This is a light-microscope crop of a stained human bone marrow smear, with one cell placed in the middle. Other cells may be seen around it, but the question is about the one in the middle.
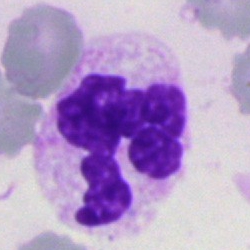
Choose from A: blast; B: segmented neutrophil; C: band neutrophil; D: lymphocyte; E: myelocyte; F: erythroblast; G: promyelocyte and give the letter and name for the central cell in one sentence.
Since the cell in the centre is a segmented neutrophil, the correct option is B.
